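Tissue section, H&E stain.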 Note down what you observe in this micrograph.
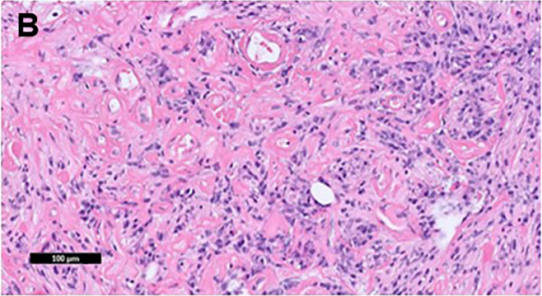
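This is fibrotic tissue crowded with mixed inflammatory cells lying between pink collagen fibres. Several small vessels with open round lumina are cut across. The overall picture is a dense chronic inflammatory infiltrate within a fibrosing stroma rather than an organised normal tissue.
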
